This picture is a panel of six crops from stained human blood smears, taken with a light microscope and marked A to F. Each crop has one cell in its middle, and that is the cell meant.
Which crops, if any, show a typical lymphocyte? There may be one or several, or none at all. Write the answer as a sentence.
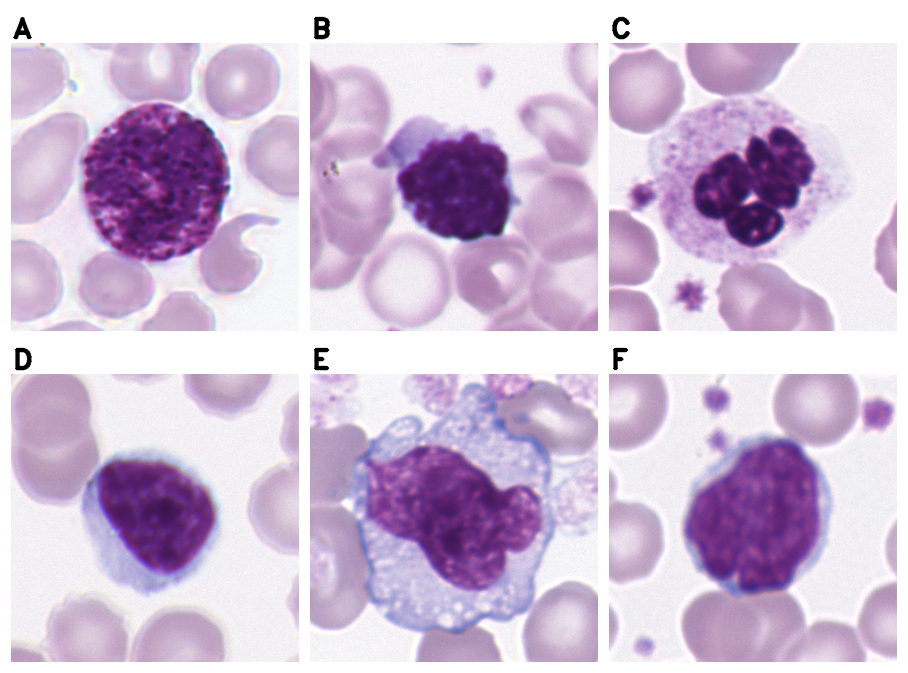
The crops in this set showing typical lymphocytes are B, D and F.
